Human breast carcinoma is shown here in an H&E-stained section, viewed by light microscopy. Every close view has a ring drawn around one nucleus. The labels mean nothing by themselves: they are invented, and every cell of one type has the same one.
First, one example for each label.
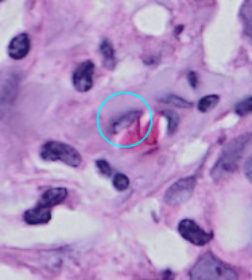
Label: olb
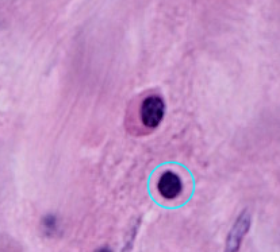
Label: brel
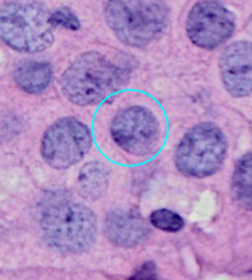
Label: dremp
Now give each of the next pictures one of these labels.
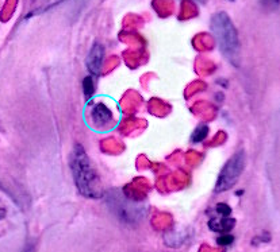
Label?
olb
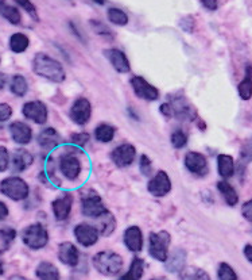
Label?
brel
